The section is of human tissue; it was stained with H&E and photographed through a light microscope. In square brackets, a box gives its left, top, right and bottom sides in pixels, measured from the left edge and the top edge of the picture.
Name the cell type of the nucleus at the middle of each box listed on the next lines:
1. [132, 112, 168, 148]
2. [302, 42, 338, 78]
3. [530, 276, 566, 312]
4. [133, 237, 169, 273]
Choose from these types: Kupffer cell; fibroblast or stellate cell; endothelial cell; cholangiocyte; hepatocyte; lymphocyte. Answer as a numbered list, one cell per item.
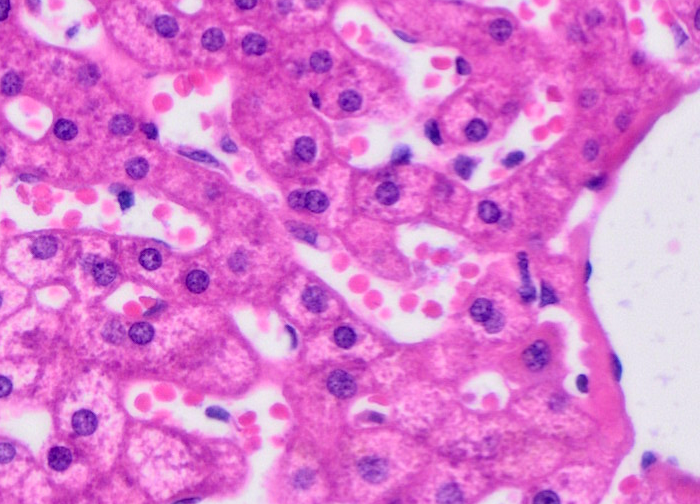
1. fibroblast or stellate cell
2. hepatocyte
3. fibroblast or stellate cell
4. hepatocyte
